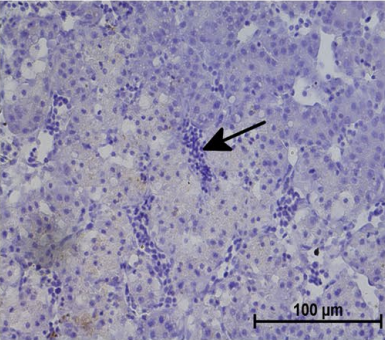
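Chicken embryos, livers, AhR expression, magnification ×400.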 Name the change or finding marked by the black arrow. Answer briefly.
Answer: Lymphocyte infiltration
